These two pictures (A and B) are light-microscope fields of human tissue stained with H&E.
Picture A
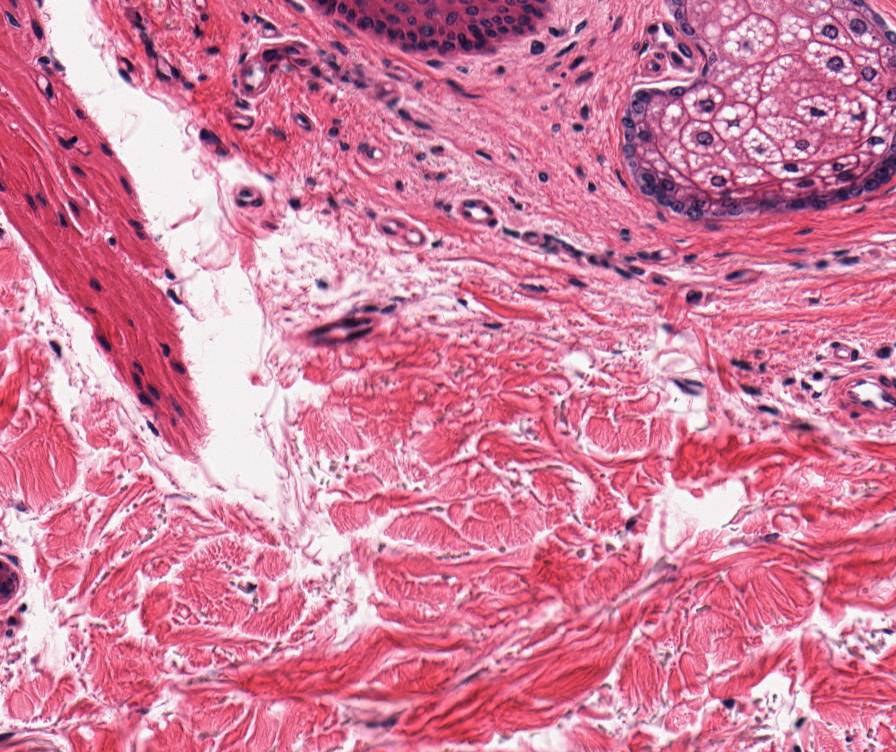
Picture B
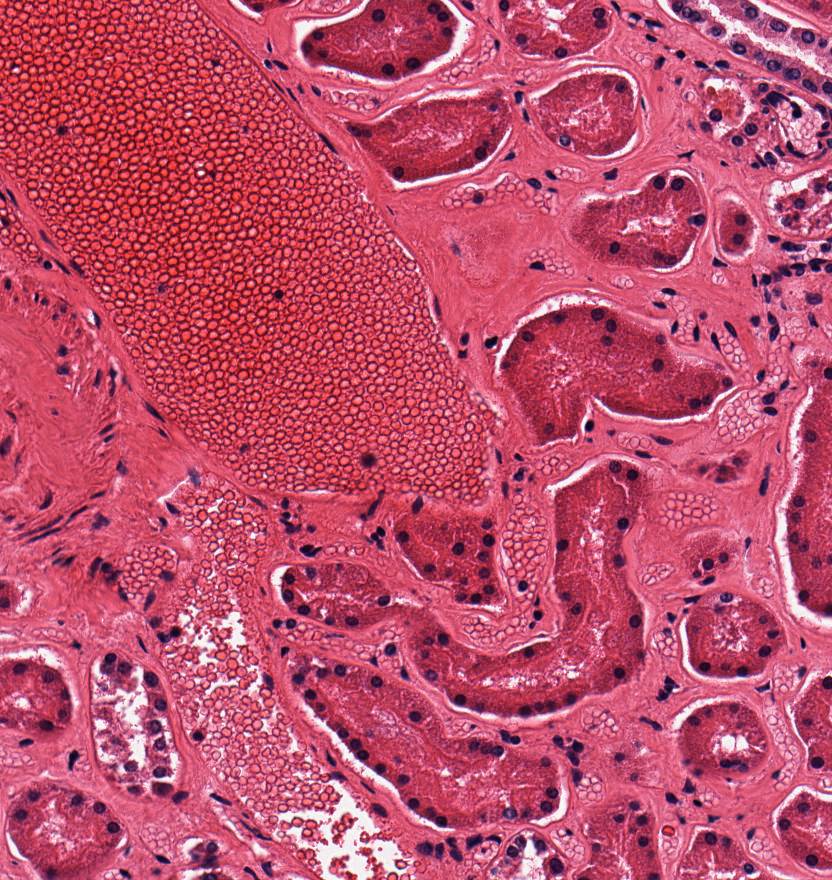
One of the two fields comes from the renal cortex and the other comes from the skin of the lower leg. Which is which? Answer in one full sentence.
Picture A comes from the skin of the lower leg and picture B comes from the renal cortex.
